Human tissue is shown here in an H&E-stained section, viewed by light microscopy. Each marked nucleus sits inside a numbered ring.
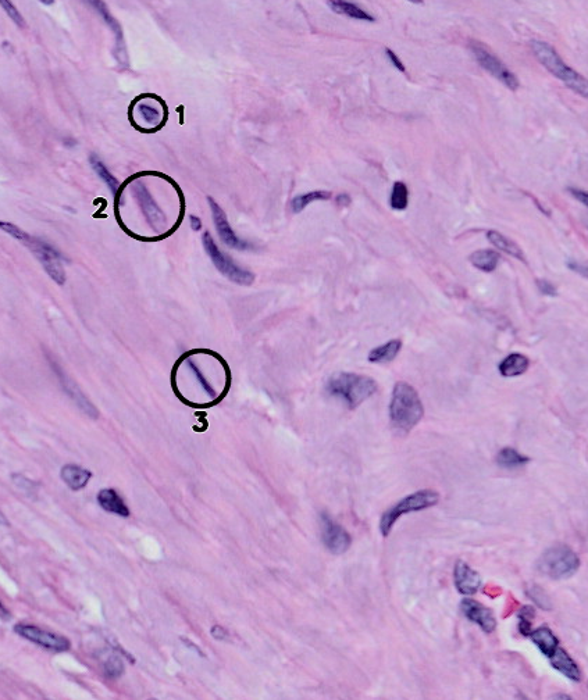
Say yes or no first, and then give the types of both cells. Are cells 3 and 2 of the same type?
No, cell 3 is a fibroblast and cell 2 is a smooth muscle cell.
